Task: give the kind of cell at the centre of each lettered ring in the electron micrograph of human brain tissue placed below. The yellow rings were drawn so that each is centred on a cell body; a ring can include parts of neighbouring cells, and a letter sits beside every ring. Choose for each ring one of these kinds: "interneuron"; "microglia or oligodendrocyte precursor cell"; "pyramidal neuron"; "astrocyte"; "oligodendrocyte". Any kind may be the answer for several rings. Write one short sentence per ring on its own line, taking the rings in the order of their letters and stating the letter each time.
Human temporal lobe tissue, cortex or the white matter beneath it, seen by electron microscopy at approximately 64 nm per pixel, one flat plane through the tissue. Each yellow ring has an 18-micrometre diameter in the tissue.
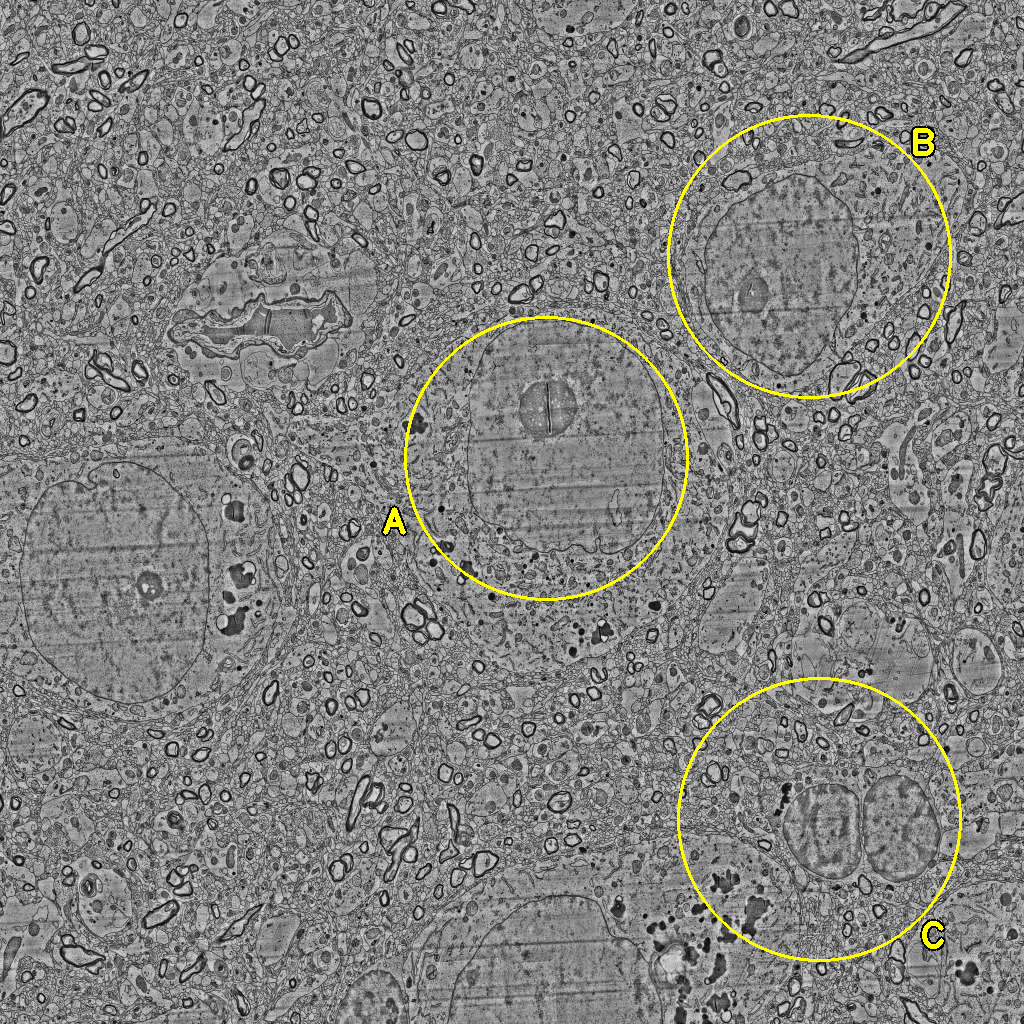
The yellow ring marked A surrounds a pyramidal neuron.
The yellow ring marked B surrounds a pyramidal neuron.
The yellow ring marked C surrounds an oligodendrocyte.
